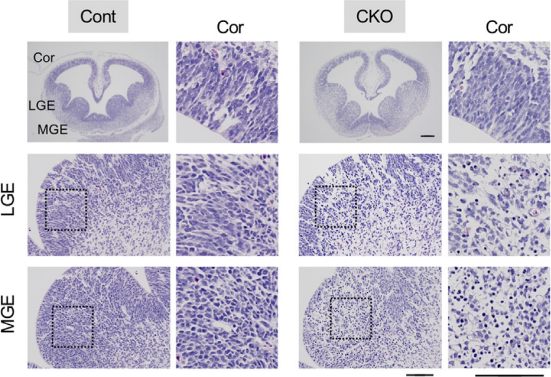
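In one brain the eminences are made of densely packed, elongated cells with oval purple nuclei, arranged radially from the ventricular surface. In the other the eminences look loosened: many cells are small and rounded with dark, condensed nuclei, separated by pale gaps, a picture of cell shrinkage and degeneration. The cortical wall of that brain is less affected and still shows packed, elongated cells.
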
